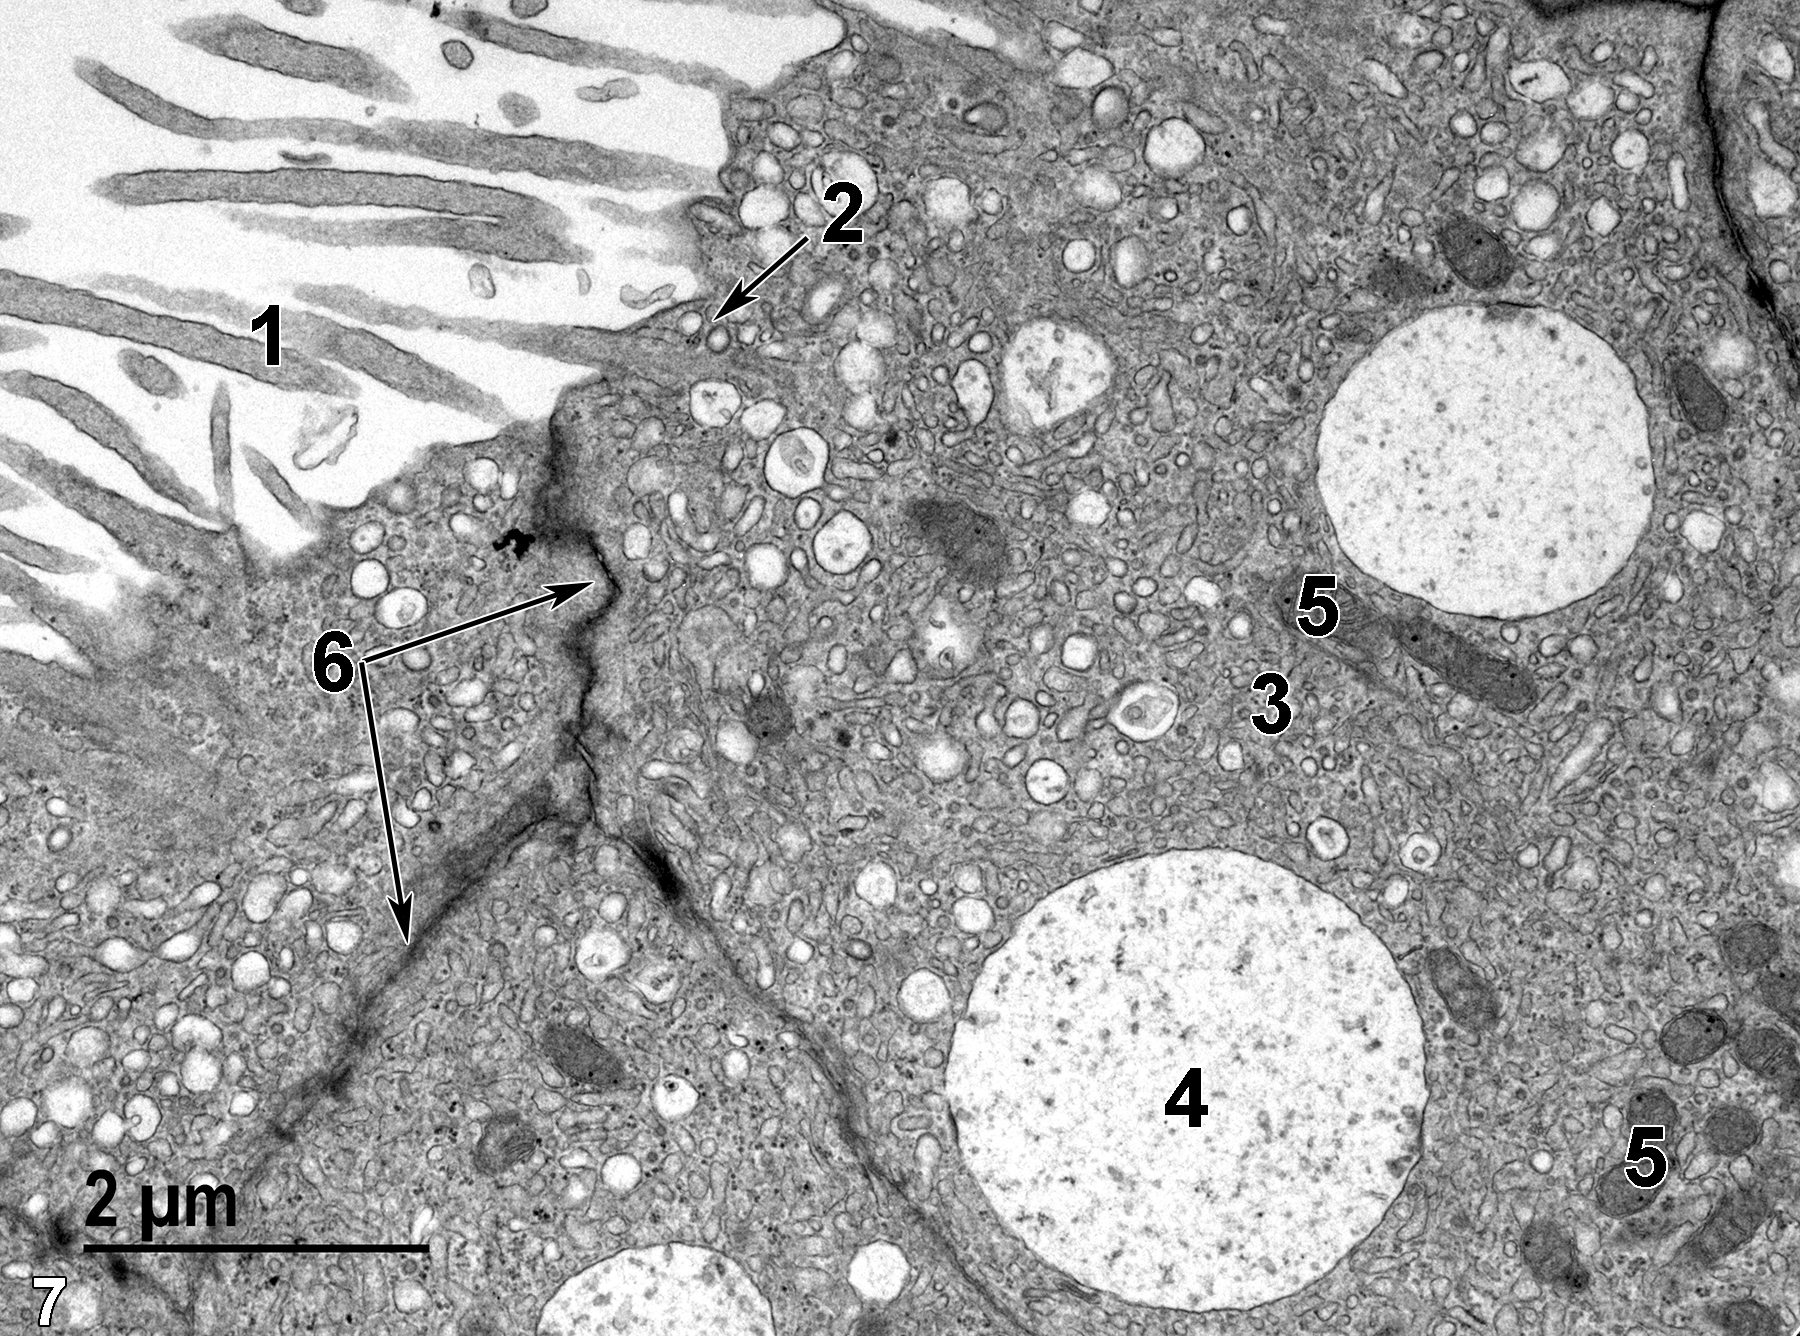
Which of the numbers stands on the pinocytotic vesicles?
It's 2.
